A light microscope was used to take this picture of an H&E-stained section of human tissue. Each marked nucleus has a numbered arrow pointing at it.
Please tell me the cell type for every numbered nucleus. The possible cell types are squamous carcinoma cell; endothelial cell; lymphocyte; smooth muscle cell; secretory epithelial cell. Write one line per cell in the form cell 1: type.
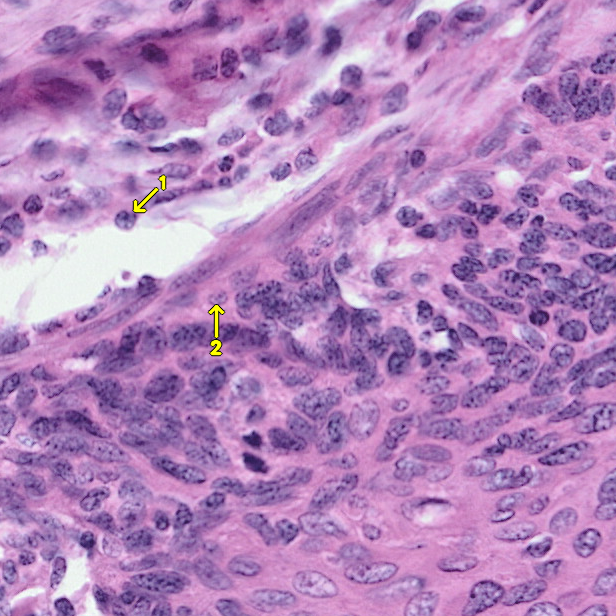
cell 1: lymphocyte
cell 2: squamous carcinoma cell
